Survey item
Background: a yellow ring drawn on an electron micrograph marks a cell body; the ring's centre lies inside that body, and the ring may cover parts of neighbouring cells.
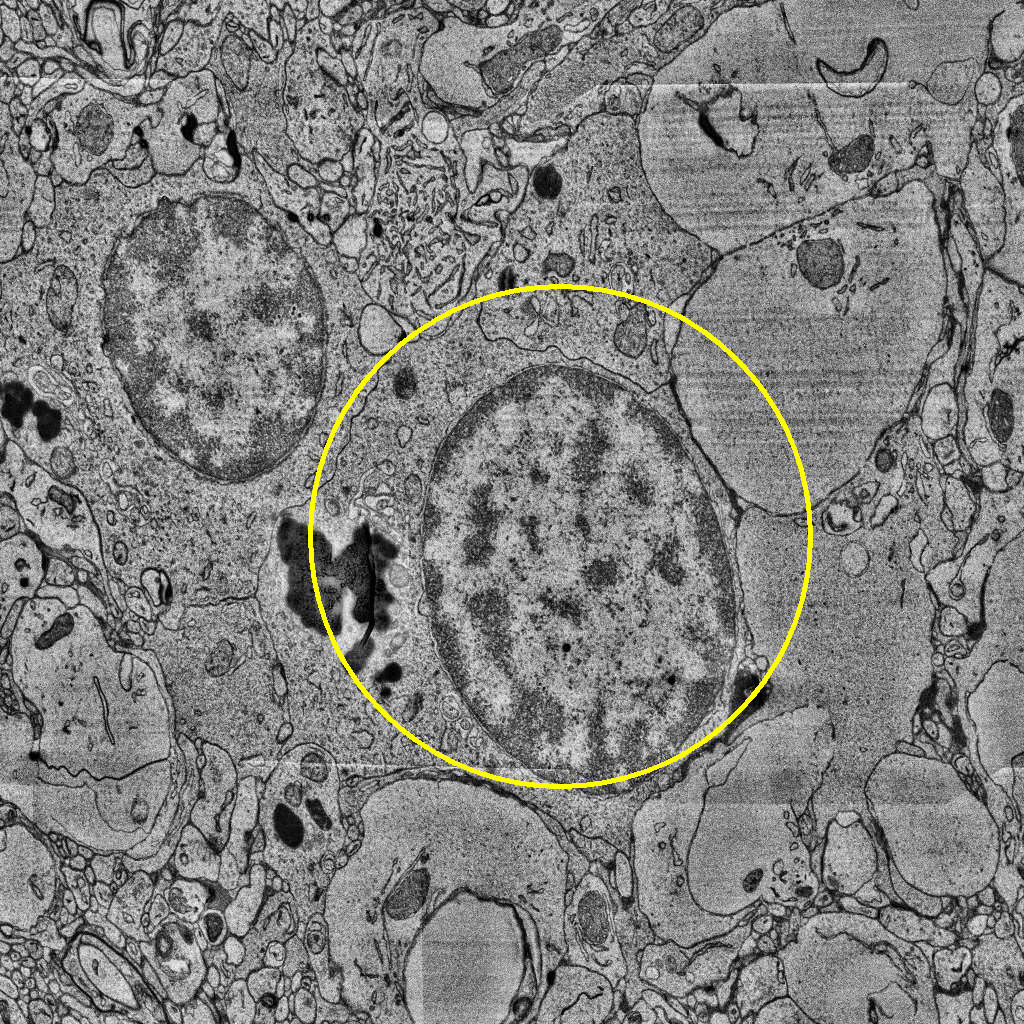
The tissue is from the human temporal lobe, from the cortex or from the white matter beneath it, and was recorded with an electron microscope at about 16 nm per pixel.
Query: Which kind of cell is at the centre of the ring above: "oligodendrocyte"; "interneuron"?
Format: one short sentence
The cell in the middle of the ring is an oligodendrocyte.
